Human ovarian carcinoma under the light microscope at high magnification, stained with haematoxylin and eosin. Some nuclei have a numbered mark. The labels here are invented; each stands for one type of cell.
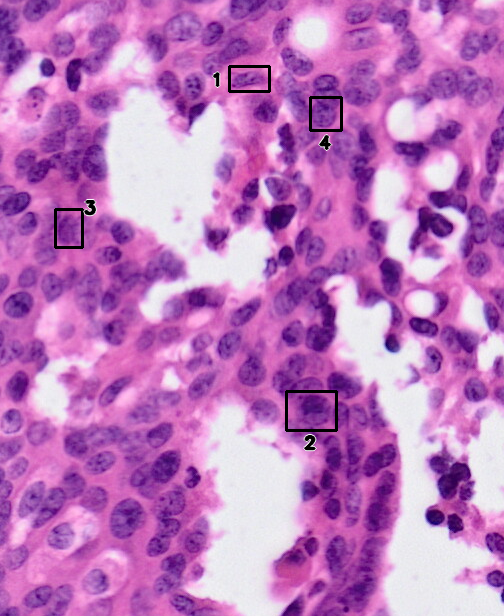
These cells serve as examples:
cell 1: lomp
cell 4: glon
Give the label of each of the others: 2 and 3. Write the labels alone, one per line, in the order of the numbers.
glon
glon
